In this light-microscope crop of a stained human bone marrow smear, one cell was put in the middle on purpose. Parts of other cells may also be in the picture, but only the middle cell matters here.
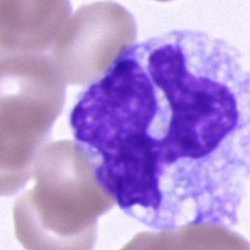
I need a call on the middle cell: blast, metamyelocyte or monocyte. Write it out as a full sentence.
The cell the crop is centered on is a monocyte.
